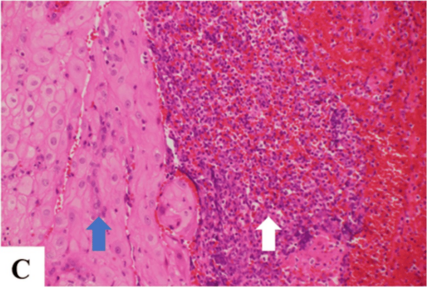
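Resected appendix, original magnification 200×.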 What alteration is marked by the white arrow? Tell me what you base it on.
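The arrow points to a dense sheet of small cells with dark nuclei. Red blood-filled area lies beside this cellular sheet. So: abscess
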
